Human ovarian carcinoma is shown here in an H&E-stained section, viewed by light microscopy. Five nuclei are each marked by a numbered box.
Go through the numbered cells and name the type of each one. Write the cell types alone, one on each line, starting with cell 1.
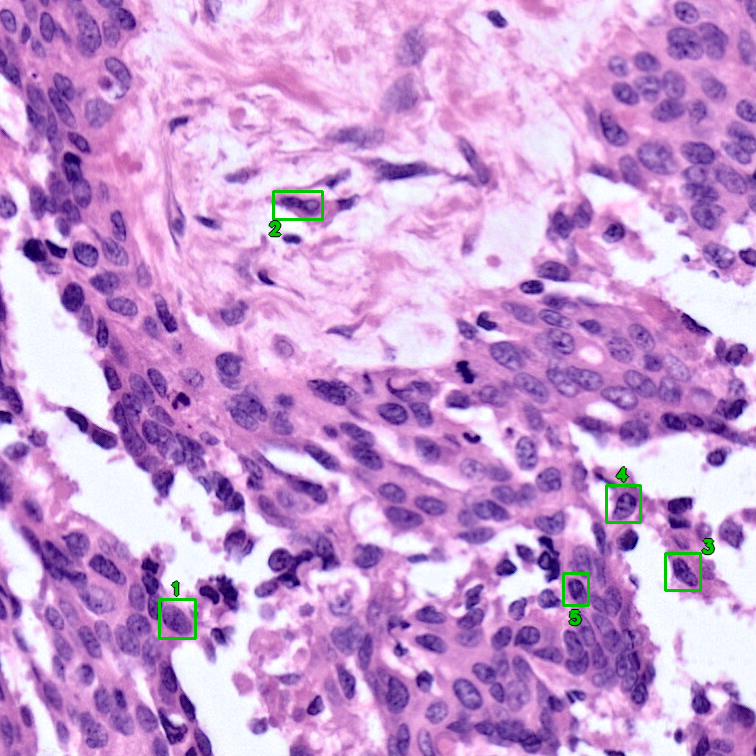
carcinoma cell
endothelial cell
macrophage or monocyte
macrophage or monocyte
carcinoma cell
